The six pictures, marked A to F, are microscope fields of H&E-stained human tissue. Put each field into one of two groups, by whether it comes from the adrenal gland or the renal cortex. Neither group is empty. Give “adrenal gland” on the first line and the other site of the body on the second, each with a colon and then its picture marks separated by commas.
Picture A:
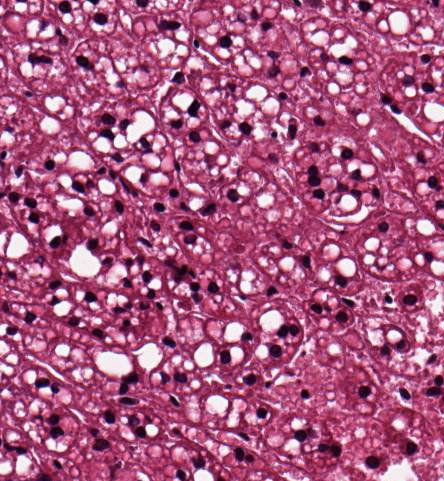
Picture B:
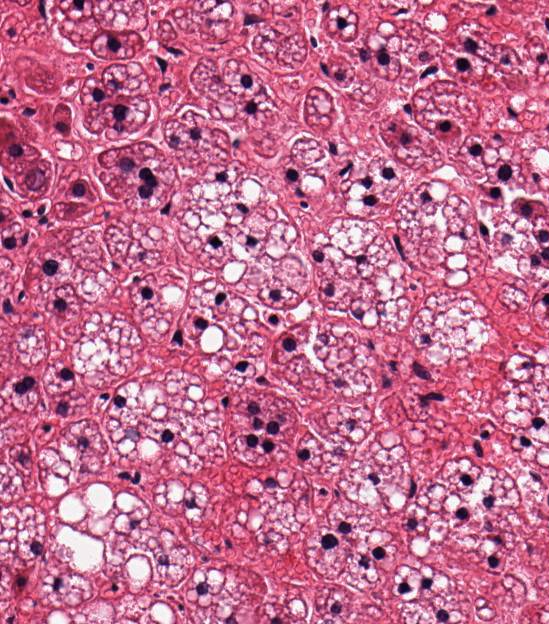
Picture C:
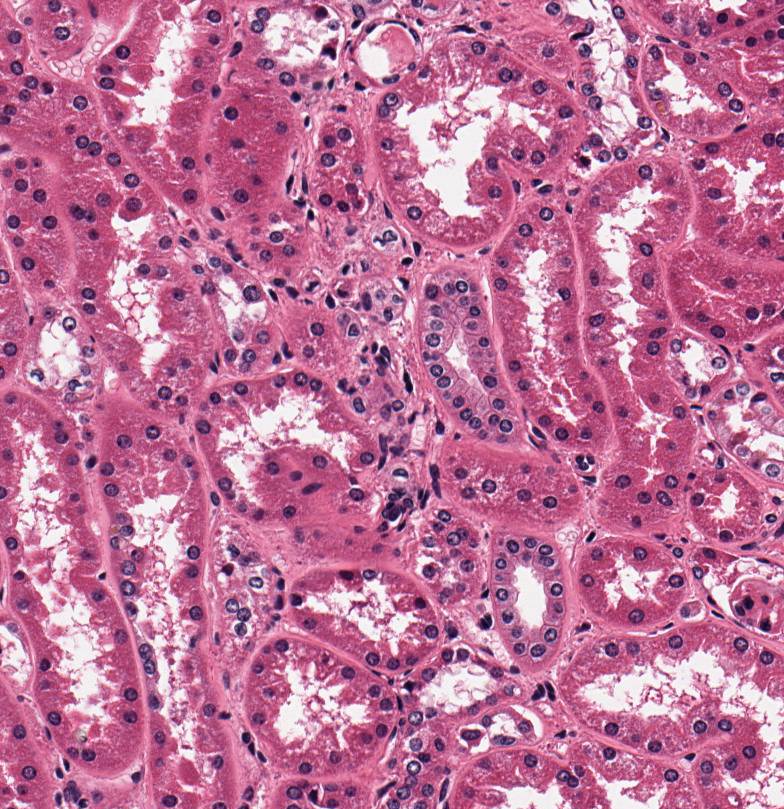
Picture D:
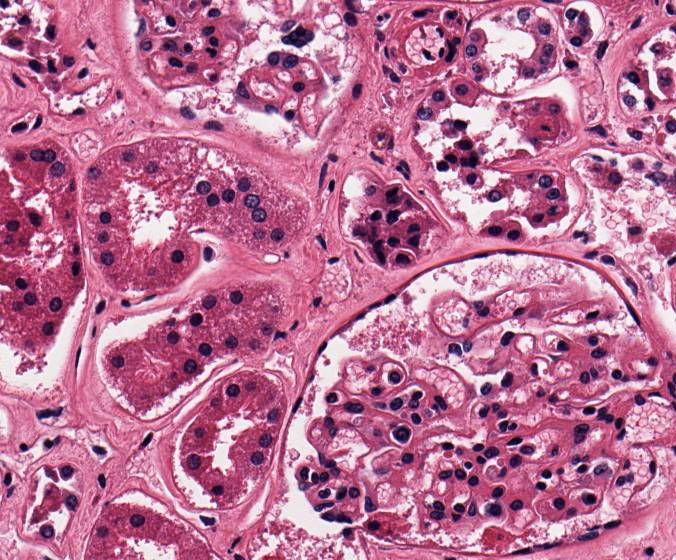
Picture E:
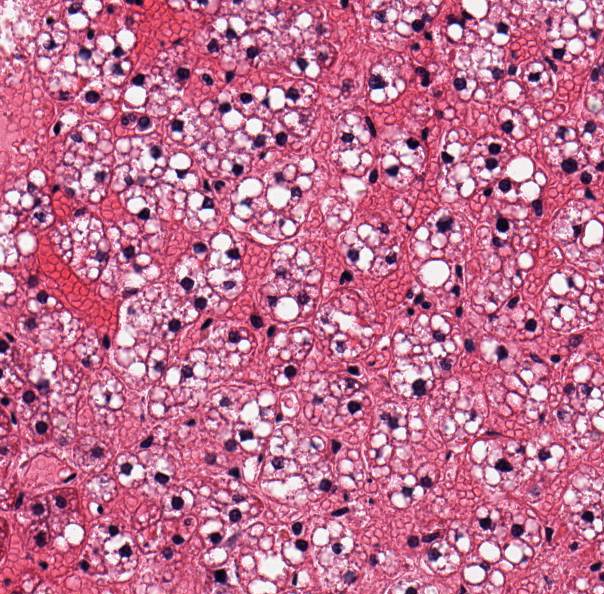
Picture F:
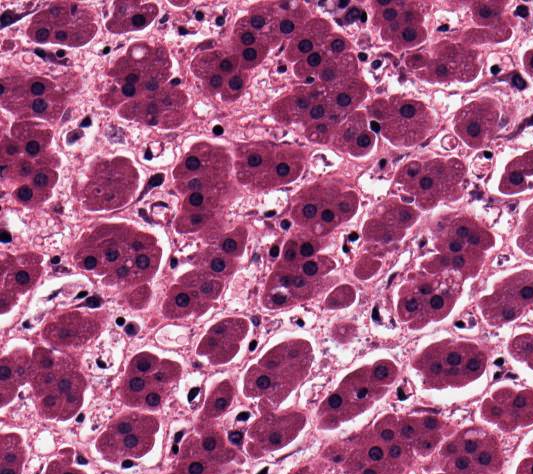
adrenal gland: A, B, E, F
renal cortex: C, D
